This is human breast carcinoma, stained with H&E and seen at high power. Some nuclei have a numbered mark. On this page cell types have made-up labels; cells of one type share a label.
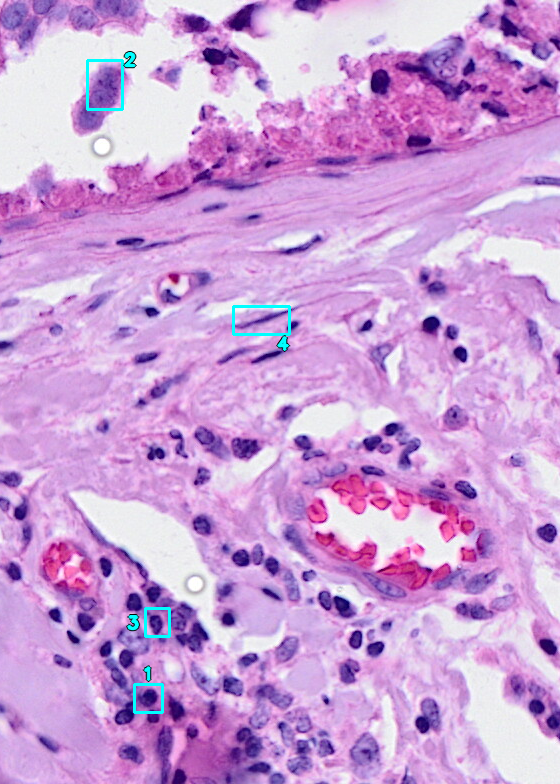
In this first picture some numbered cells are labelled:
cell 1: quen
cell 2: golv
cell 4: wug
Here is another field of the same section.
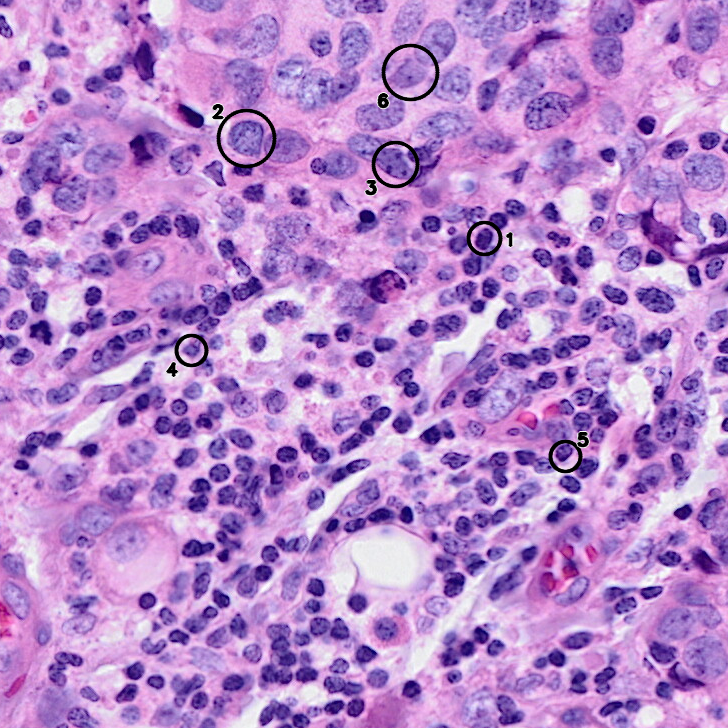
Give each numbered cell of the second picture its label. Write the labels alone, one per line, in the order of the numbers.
quen
golv
golv
quen
quen
golv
